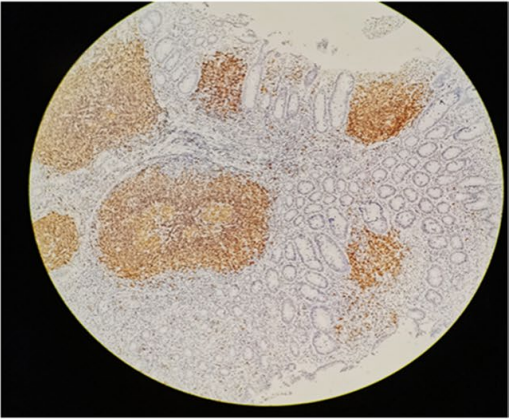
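This mucosal biopsy shows numerous round and tubular glands in a blue-counterstained stroma, among which brown-stained lymphocytes are crowded into rounded, sharply bounded aggregates, the lymphoid follicles. Outside these nodules the tissue between the glands holds few brown cells.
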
